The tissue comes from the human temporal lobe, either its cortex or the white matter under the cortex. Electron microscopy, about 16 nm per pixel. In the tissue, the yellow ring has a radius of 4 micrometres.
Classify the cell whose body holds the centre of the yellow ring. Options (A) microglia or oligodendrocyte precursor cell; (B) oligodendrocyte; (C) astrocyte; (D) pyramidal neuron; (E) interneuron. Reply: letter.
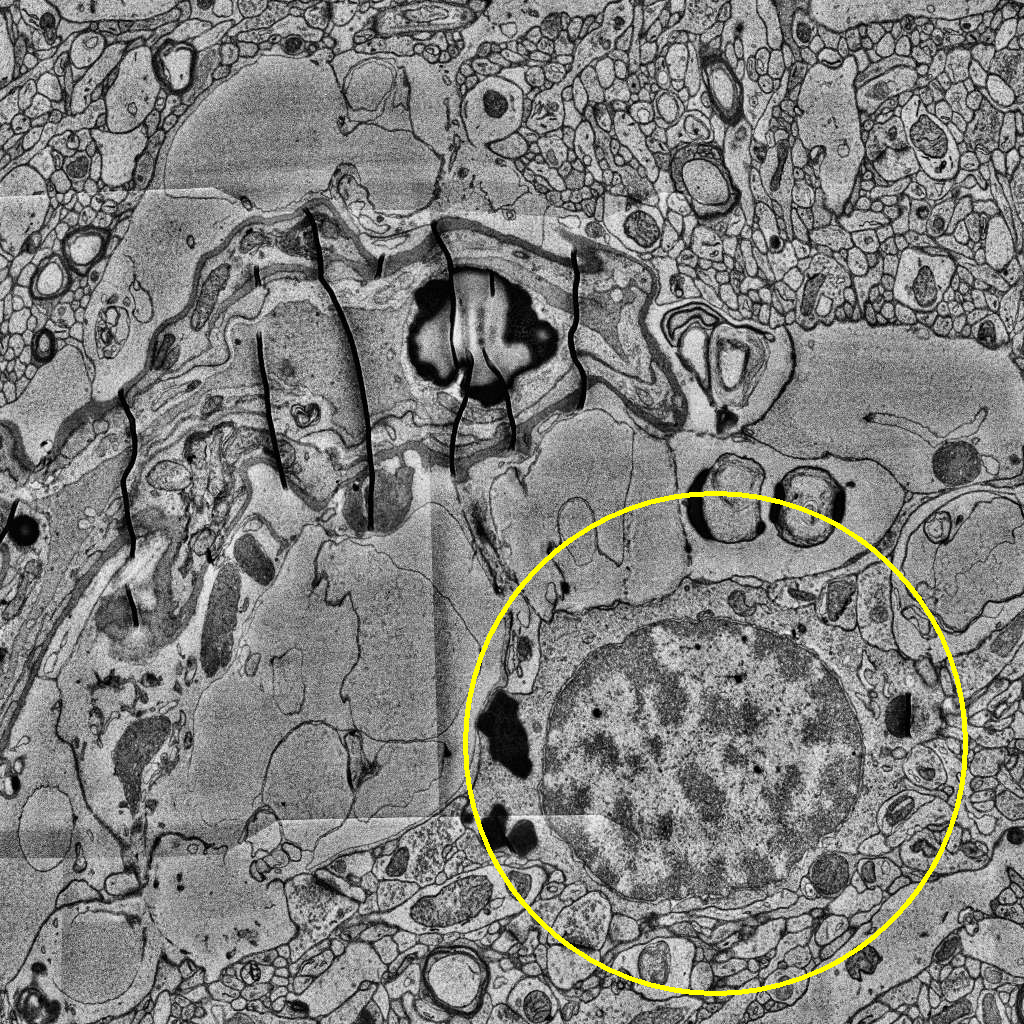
B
